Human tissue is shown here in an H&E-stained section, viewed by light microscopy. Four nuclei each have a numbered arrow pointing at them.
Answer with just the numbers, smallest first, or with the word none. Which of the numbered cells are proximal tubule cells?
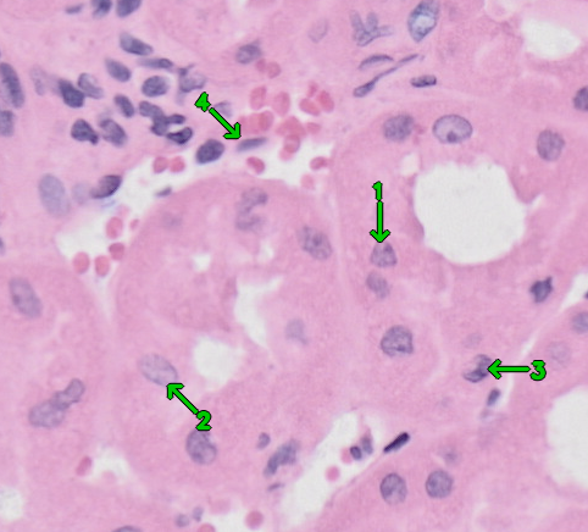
1, 2, 3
